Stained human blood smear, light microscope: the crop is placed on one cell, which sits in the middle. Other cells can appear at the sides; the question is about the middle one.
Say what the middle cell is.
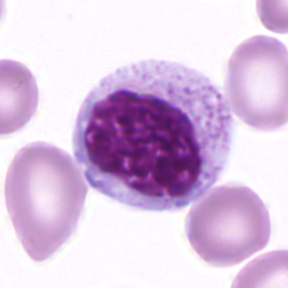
metamyelocyte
